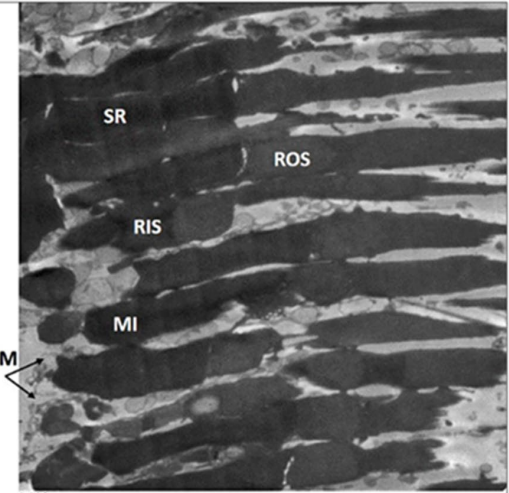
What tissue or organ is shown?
Photoreceptor layer.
